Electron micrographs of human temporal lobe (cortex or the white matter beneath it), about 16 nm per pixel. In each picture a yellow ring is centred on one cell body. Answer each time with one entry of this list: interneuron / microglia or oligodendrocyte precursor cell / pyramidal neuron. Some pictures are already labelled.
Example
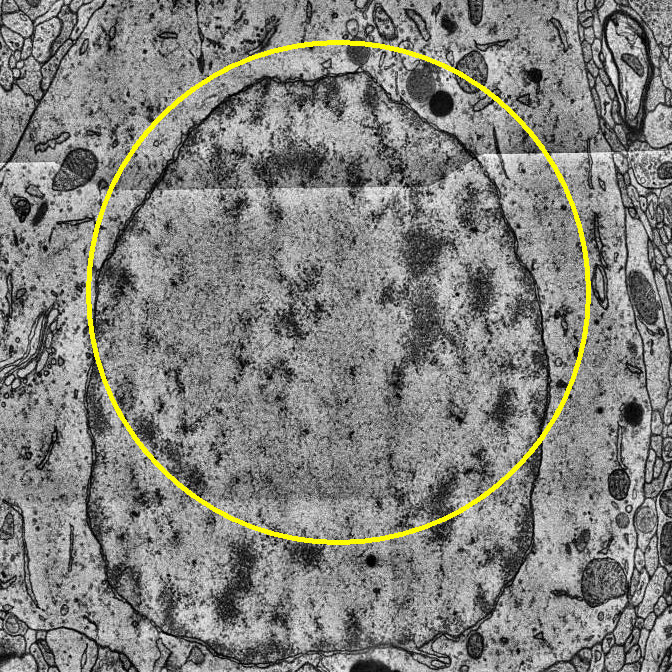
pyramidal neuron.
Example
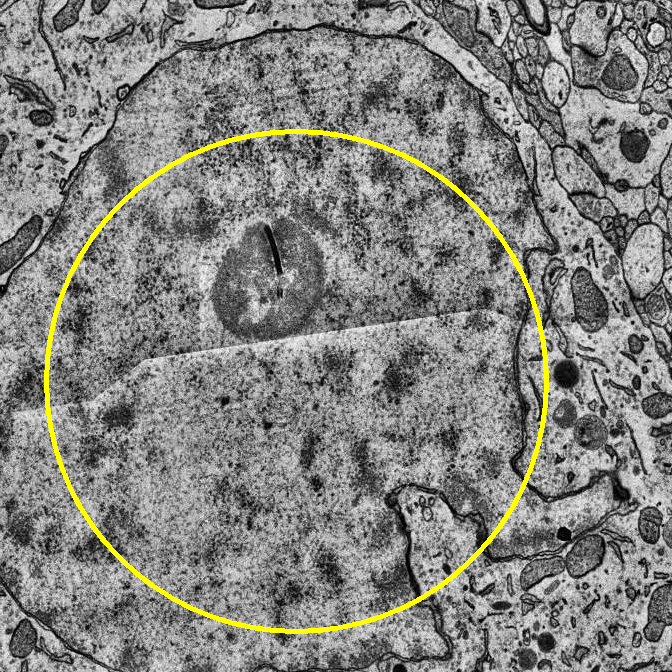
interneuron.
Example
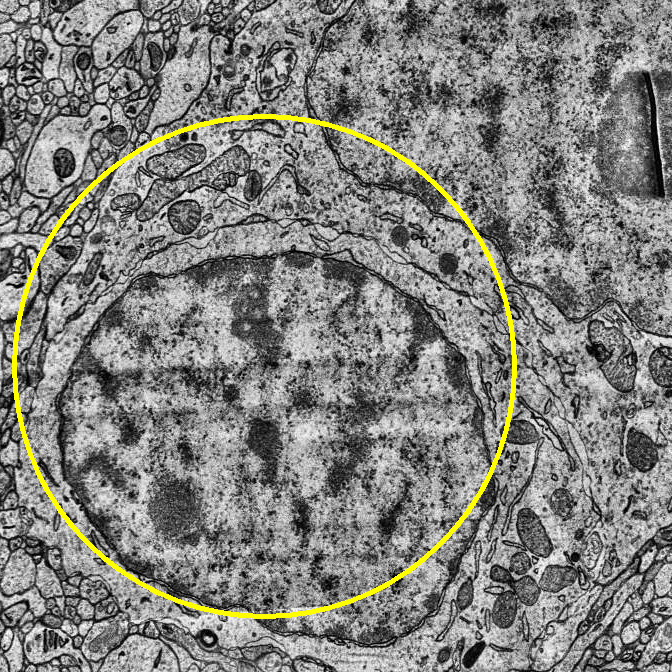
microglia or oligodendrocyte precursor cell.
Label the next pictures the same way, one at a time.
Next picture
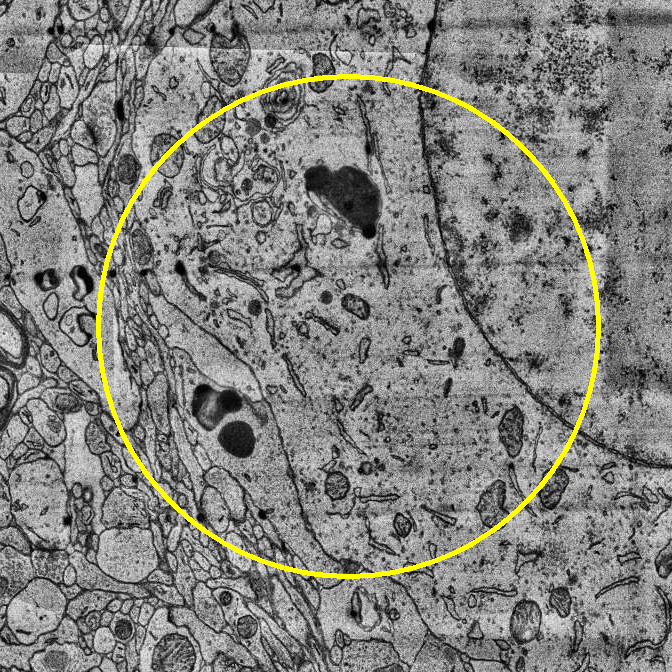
microglia or oligodendrocyte precursor cell.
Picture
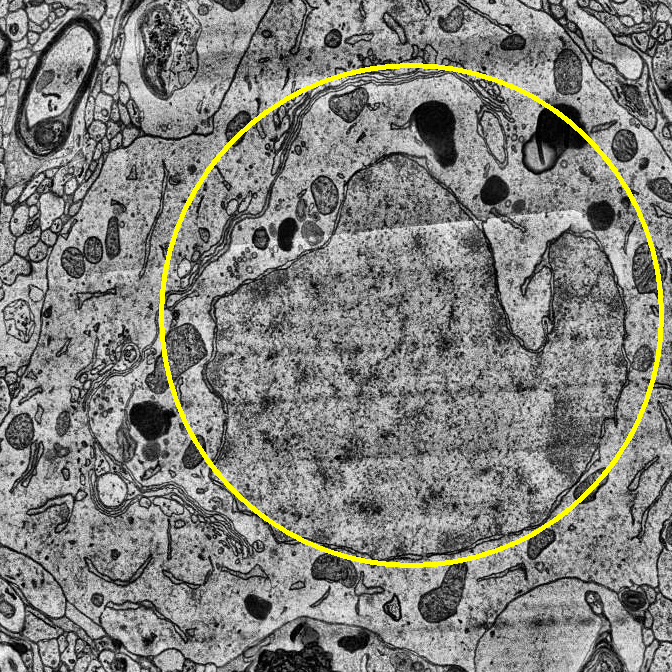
interneuron.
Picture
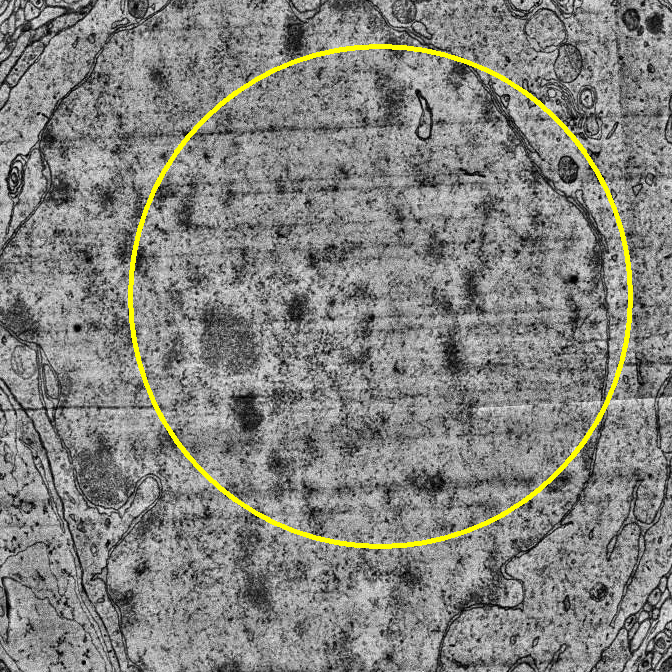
interneuron.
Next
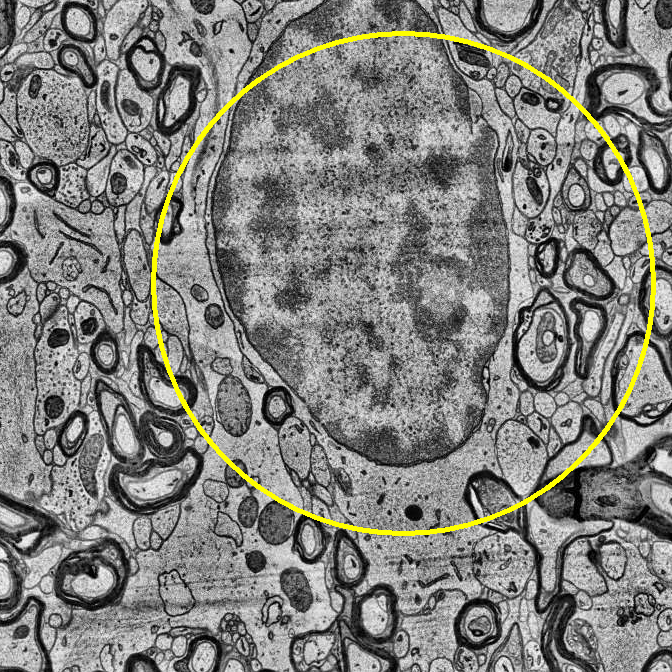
microglia or oligodendrocyte precursor cell.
